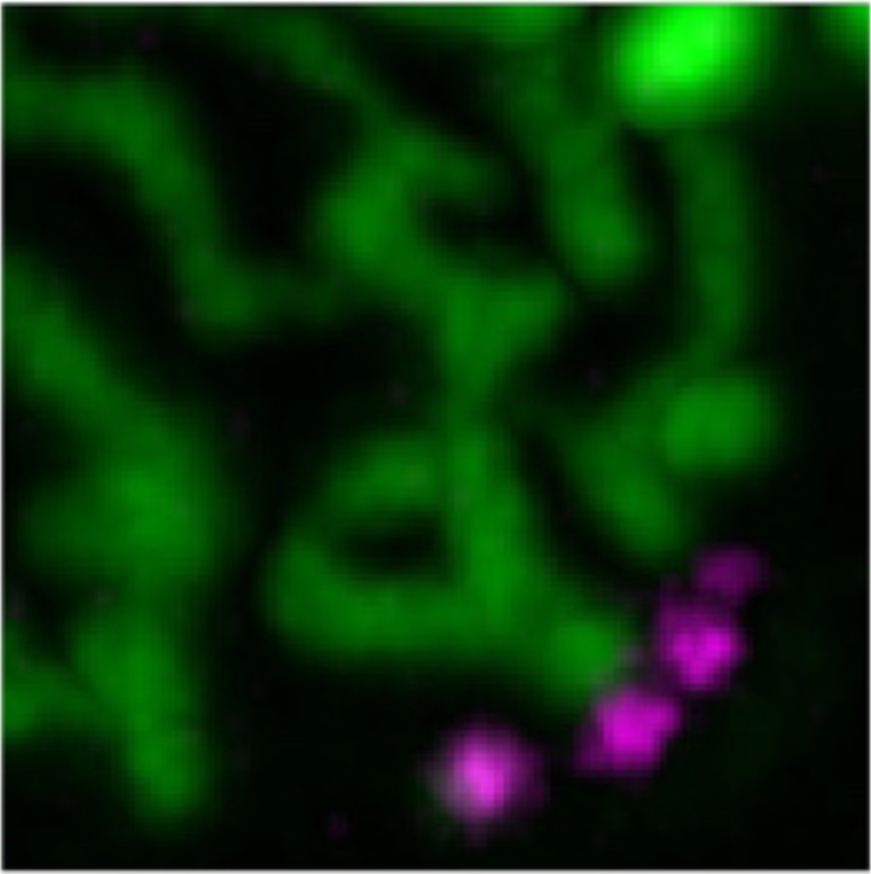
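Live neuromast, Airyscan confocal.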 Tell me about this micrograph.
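A close view of the basal ends of hair cells. Green outlines a tangle of tubular, sometimes branching and sometimes rounded elements, the mitochondria, packed through the cytoplasm and curving around one another. At the lower right, a short row of three or four bright magenta round puncta sits at the cell base, near but not within the green tubules.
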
